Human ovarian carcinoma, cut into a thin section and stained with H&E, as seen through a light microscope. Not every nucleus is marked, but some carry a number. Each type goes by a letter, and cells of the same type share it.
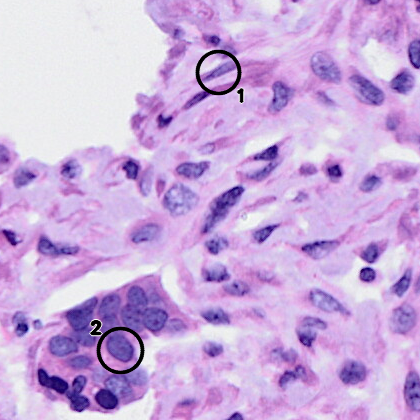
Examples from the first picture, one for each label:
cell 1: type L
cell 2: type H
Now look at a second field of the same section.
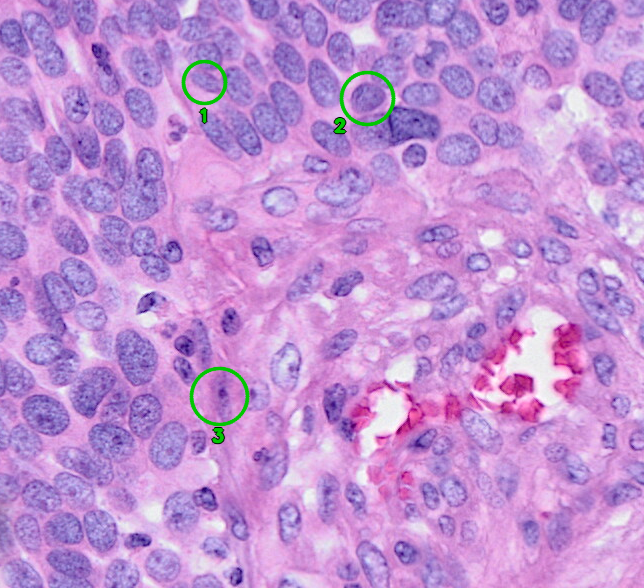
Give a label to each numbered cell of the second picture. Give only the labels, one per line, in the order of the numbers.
type H
type H
type L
